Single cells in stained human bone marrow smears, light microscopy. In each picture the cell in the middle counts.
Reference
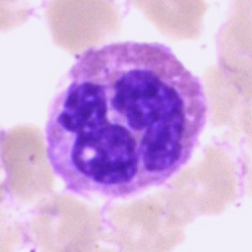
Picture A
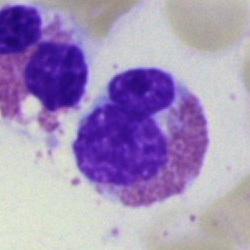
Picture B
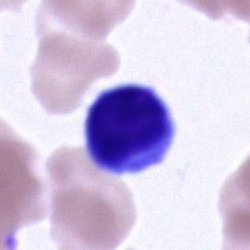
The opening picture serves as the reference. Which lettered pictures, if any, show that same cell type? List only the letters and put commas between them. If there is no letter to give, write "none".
A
